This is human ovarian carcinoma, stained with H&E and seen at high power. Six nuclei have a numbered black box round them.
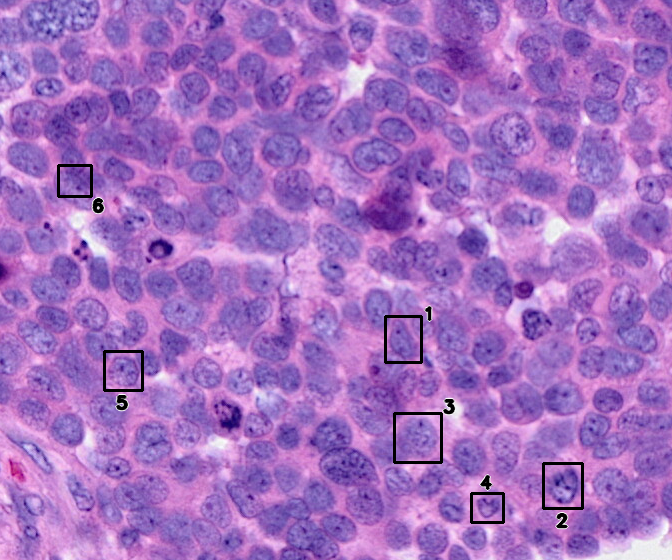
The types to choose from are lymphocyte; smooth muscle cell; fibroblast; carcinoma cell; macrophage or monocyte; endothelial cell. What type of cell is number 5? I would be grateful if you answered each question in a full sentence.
In this section, the cell numbered 5 is a carcinoma cell.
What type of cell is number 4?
Identified by the number 4, the cell is a macrophage or monocyte.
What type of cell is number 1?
The numbered cell 1 is identified here as a carcinoma cell.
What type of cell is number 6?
The cell referred to as 6 is a carcinoma cell.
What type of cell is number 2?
The numeral 2 marks a macrophage or monocyte in this section.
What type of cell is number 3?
Classified as a carcinoma cell is the cell with the number 3.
